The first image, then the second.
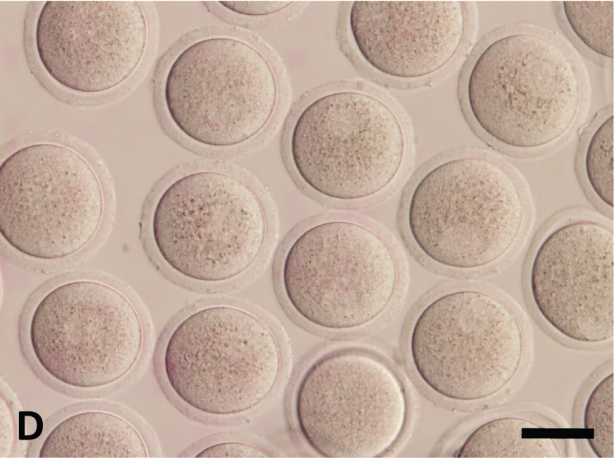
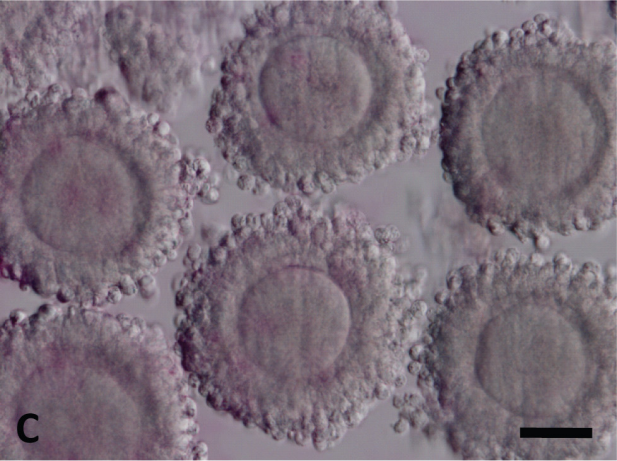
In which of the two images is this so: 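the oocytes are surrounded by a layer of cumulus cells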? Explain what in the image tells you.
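The second image. First image: bare round cells with only a clear coat around each. Second image: each round cell is ringed by many small round cells.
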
